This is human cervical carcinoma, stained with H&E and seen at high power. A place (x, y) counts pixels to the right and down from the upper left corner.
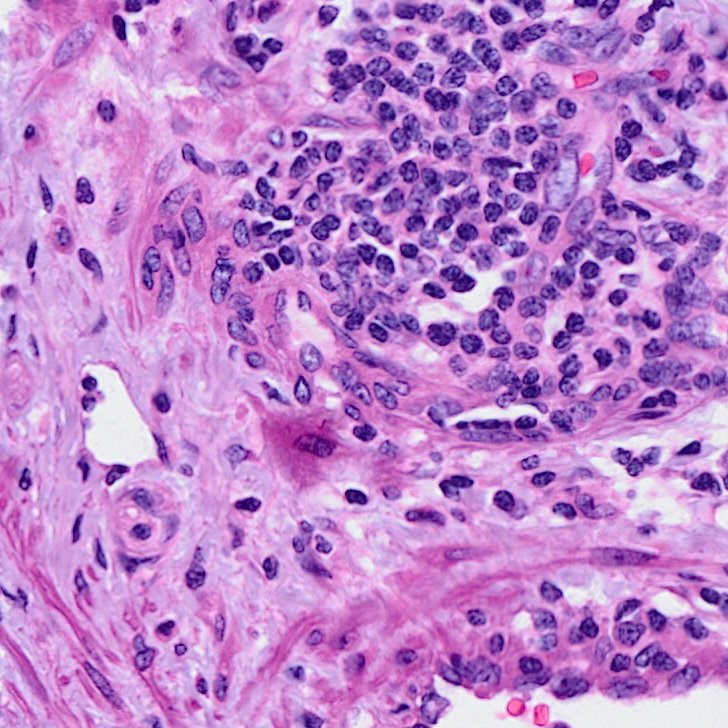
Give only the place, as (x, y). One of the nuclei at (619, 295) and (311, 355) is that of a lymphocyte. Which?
(619, 295)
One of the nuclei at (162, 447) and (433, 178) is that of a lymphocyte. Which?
(433, 178)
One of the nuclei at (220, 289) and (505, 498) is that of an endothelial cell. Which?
(220, 289)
